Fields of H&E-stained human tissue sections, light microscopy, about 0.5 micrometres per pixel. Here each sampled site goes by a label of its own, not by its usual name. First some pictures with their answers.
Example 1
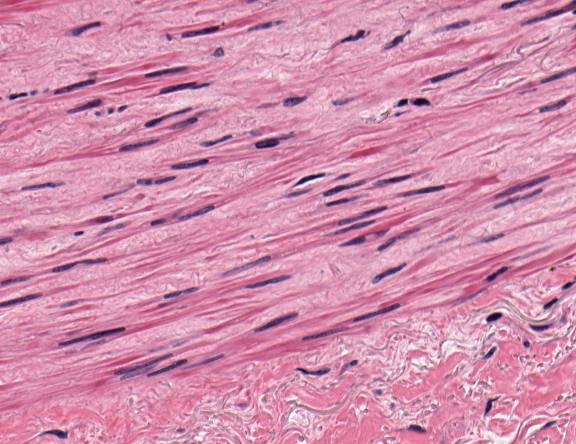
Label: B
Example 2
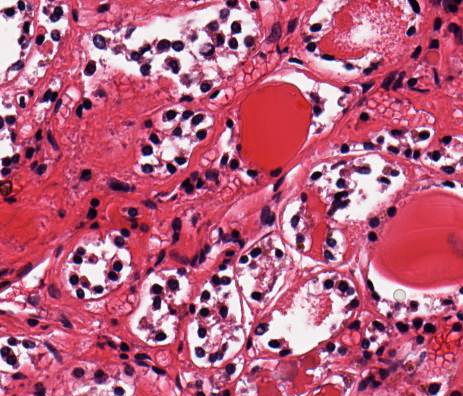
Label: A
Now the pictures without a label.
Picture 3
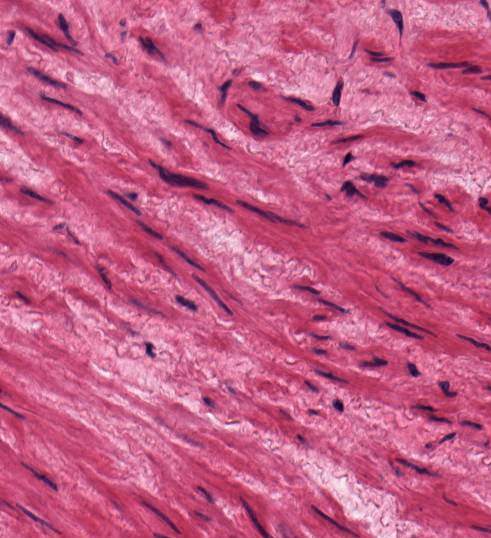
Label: B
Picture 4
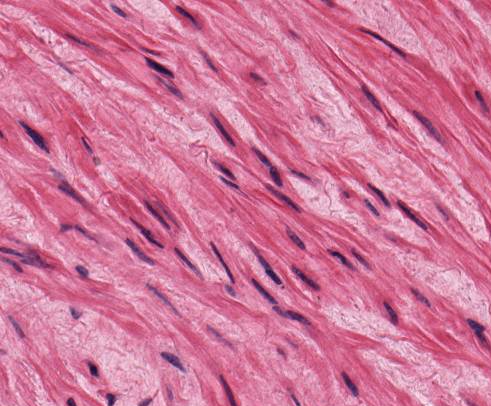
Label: B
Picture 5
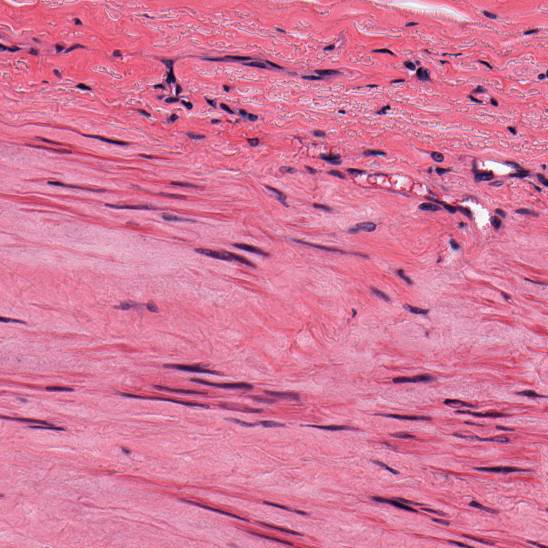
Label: B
